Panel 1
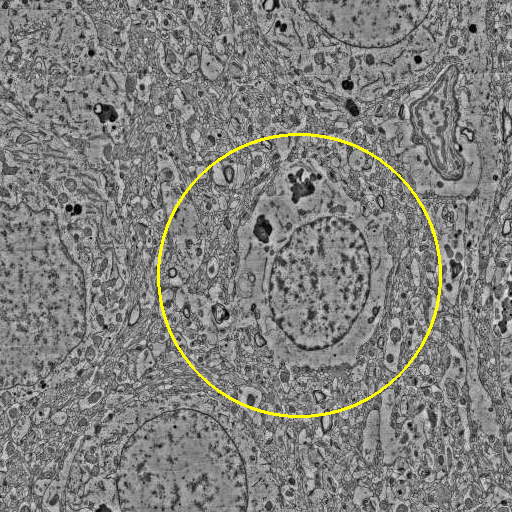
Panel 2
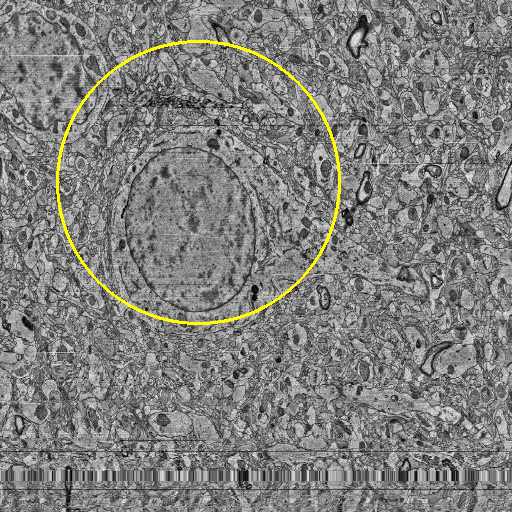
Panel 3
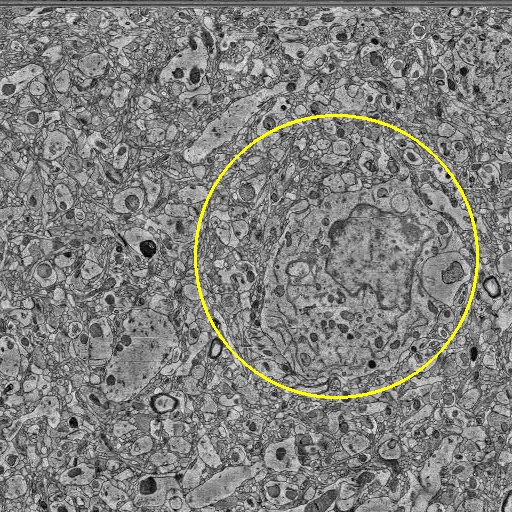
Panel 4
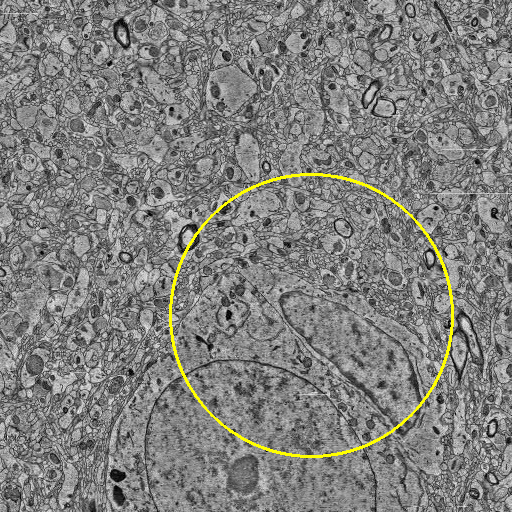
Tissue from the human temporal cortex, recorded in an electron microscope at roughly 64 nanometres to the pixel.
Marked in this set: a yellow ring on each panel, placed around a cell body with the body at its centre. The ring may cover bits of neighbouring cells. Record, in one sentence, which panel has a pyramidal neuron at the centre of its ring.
Panel 2 has it at the centre of its ring.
